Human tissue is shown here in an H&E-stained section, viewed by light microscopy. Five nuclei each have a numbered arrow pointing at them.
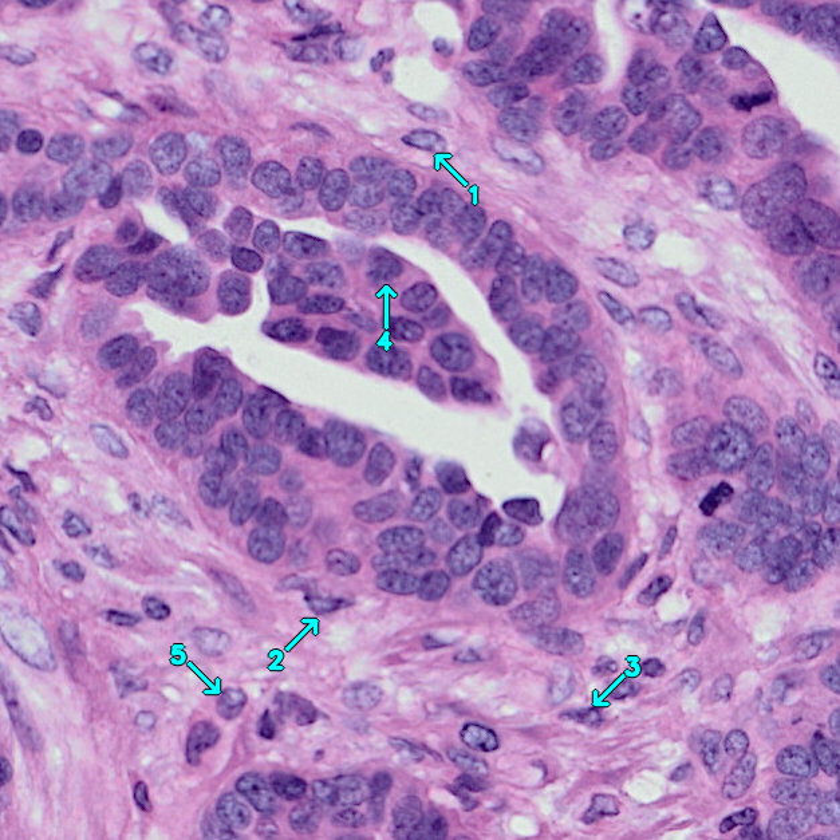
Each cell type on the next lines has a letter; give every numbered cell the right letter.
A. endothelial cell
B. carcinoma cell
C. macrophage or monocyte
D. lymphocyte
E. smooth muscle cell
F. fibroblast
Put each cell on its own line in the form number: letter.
1: F
2: F
3: F
4: B
5: C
